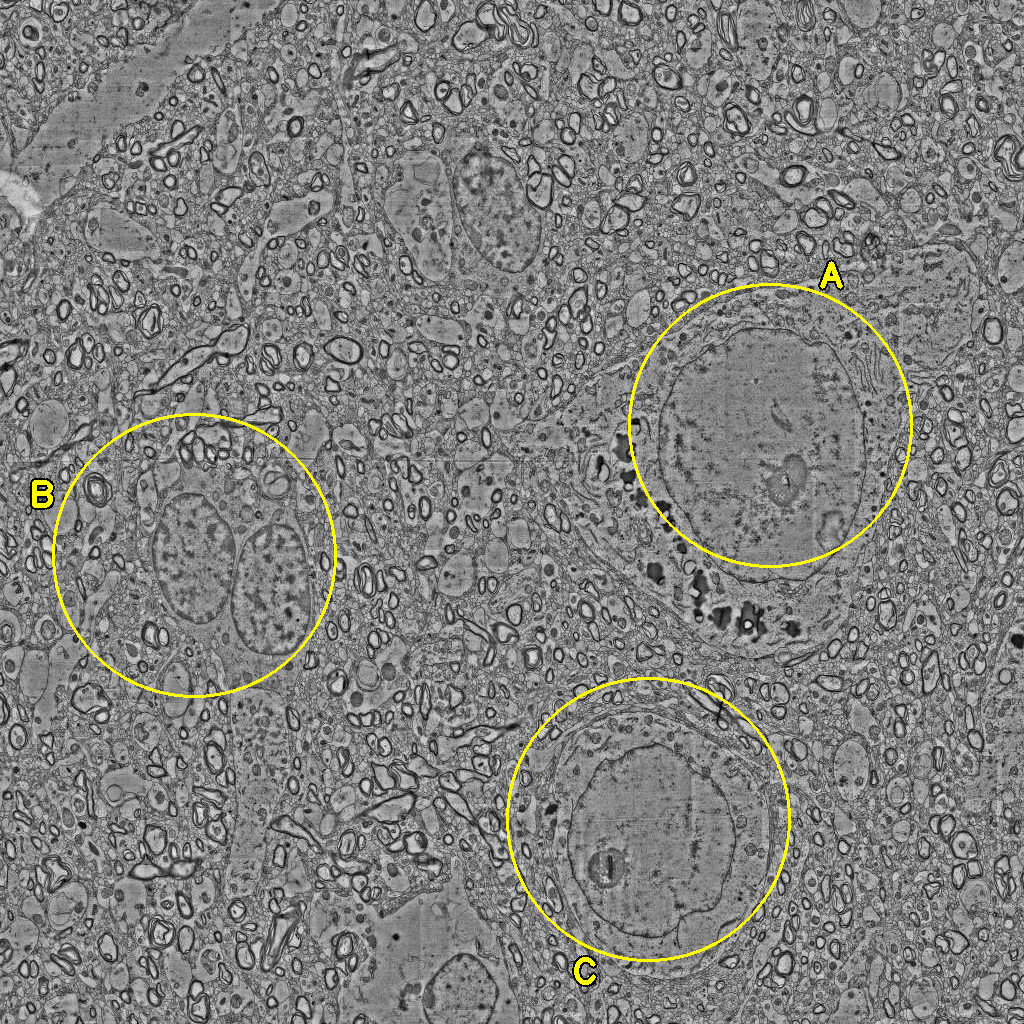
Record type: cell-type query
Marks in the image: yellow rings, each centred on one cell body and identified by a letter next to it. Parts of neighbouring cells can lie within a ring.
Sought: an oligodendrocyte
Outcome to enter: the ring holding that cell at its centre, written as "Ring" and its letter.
Ring B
